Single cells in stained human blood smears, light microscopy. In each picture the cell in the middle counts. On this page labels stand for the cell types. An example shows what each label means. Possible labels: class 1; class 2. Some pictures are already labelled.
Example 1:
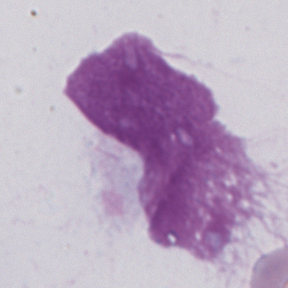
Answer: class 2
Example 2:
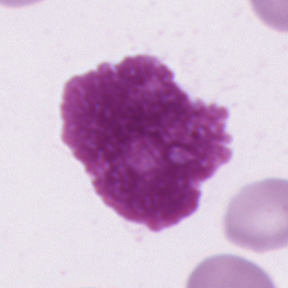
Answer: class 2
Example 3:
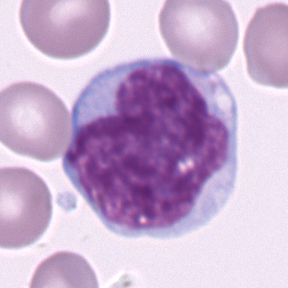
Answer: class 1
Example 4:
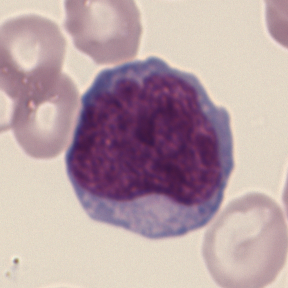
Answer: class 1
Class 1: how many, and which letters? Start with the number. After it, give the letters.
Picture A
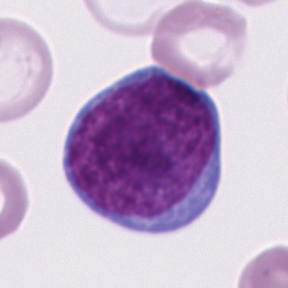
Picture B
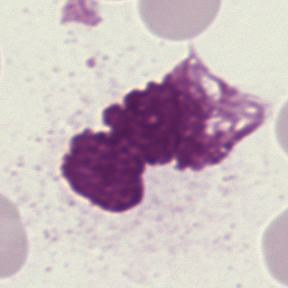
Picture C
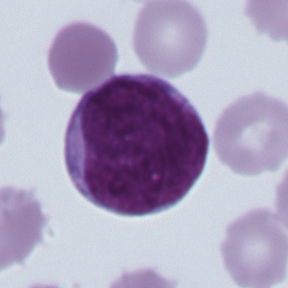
Count: 2 (A, C)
